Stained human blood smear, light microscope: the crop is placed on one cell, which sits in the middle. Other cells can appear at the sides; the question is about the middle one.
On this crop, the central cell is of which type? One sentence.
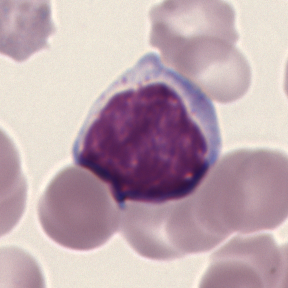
The central cell shown in this smear crop is a large granular lymphocyte.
